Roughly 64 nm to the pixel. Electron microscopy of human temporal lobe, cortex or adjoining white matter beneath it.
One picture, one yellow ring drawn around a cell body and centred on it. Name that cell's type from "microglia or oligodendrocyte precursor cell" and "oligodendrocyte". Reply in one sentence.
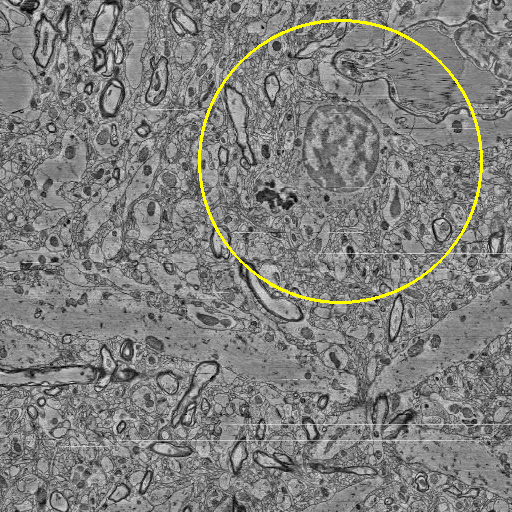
Centred in the ring is an oligodendrocyte.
